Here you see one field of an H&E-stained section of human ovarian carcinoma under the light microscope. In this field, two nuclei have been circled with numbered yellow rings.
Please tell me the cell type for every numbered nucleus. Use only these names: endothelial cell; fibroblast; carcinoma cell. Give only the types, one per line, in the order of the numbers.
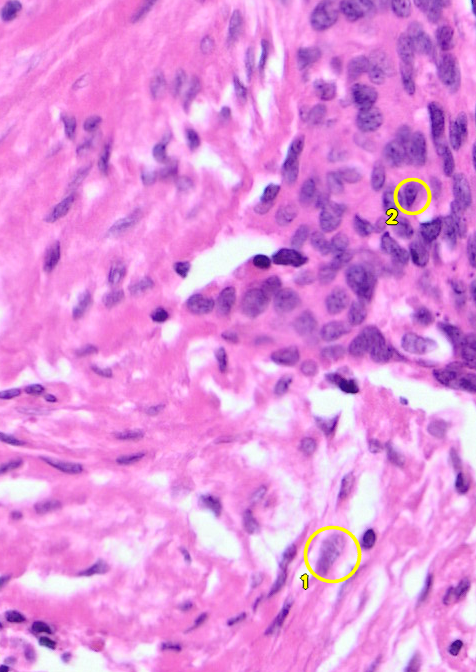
fibroblast
carcinoma cell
